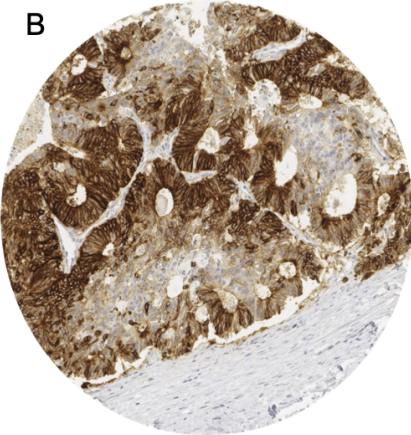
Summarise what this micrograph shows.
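Adenocarcinoma is shown, with crowded malignant glands of tall columnar tumor cells forming cribriform and gland-like spaces with luminal debris. Many tumor cells show intense brown staining of the cytoplasm and cell borders. Other tumor areas are only lightly stained and show blue nuclei. At the lower right, a band of smooth muscle-like spindle-cell tissue is unstained.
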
